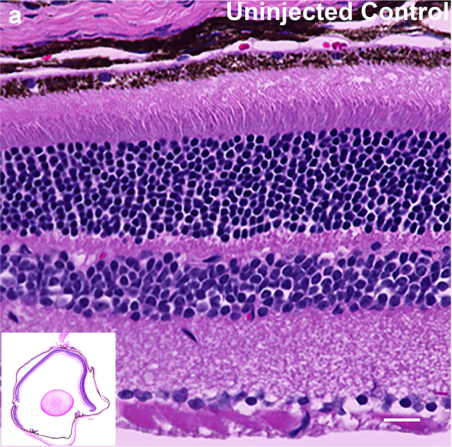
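This is a section through the layered retina stained with hematoxylin and eosin. At the top a thin band of dark brown pigmented epithelium lies against the choroid, and beneath it a broad band of pale pink, finely striated photoreceptor segments. Below lies a thick layer of many rows of small, closely packed, round, dark purple nuclei, then a thin pale pink fibrous band, and then a thinner layer of somewhat larger, looser nuclei with a few small vessels containing red cells. A wide pale, finely granular pink layer follows, and at the bottom a single loose row of larger cells with rounder, paler nuclei. The layers are evenly thick and regularly arranged across the field.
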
